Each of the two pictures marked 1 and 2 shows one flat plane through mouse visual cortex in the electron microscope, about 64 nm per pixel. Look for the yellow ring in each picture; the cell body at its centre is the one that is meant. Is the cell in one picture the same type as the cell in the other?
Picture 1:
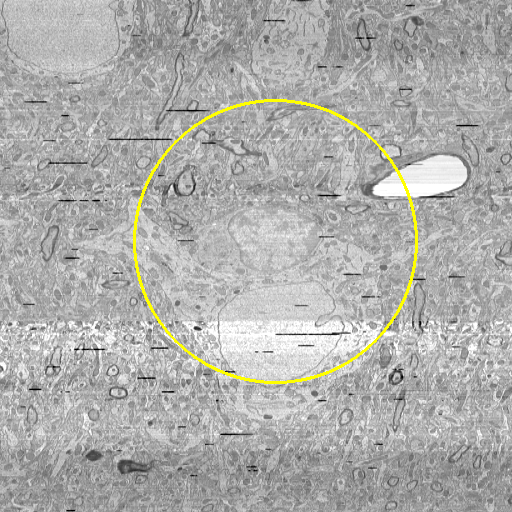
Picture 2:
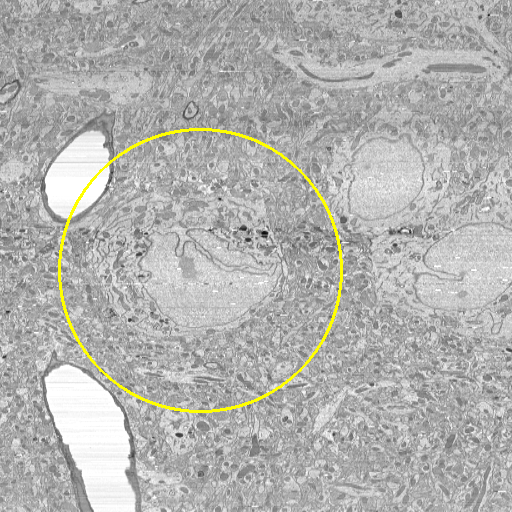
No, the types are not the same, since picture 1 shows an oligodendrocyte and picture 2 an inhibitory neuron.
